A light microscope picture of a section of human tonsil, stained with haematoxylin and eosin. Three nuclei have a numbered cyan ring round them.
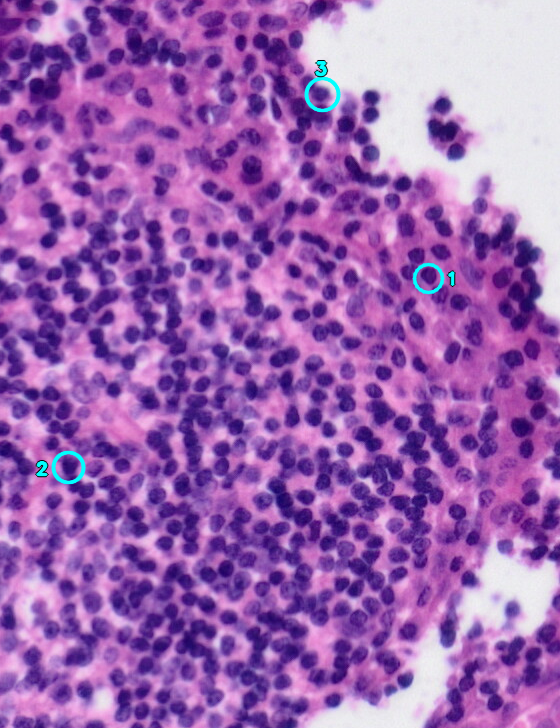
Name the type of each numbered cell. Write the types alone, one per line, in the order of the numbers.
plasma cell
small lymphocyte
small lymphocyte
